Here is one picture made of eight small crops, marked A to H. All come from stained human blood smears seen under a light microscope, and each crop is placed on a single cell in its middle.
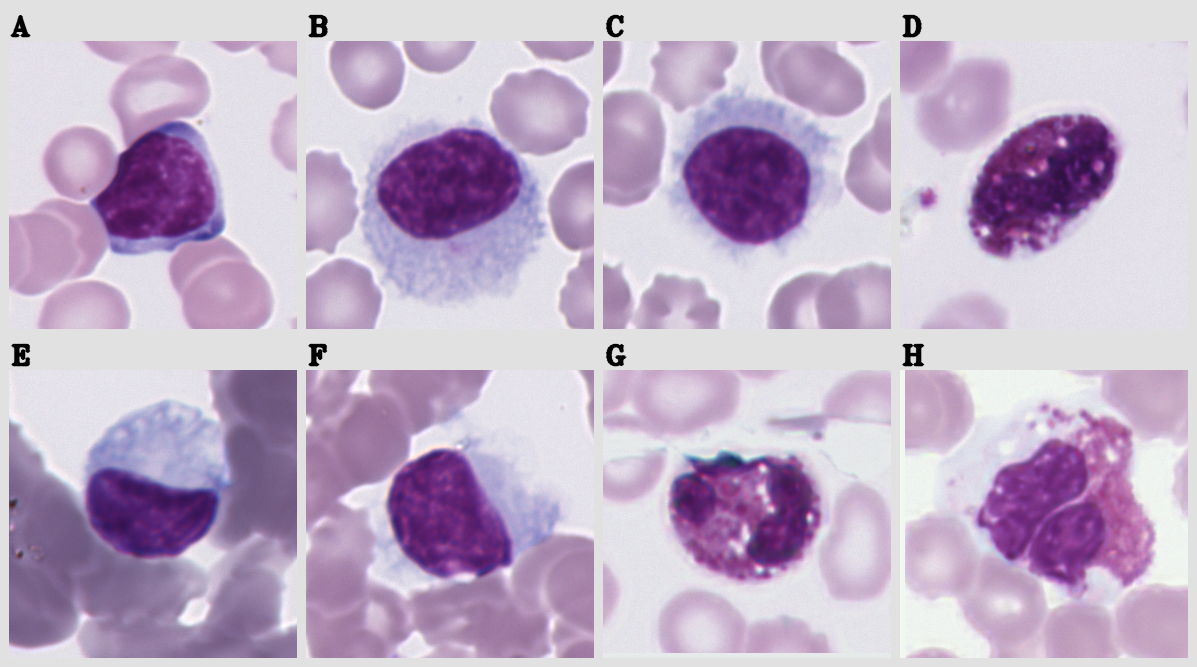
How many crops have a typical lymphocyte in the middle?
1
